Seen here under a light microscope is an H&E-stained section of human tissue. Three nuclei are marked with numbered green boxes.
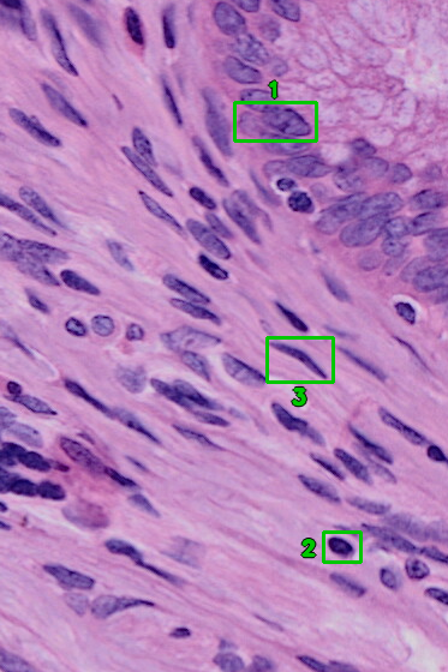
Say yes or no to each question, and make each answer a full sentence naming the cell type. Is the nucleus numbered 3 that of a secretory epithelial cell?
No, the nucleus numbered 3 belongs to a fibroblast, not a secretory epithelial cell.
